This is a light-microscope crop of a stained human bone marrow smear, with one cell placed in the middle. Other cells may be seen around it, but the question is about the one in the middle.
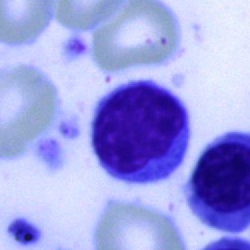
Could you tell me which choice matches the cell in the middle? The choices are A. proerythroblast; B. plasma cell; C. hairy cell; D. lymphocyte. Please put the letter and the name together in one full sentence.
The centrally positioned cell is a lymphocyte, consistent with option D, which is correct.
